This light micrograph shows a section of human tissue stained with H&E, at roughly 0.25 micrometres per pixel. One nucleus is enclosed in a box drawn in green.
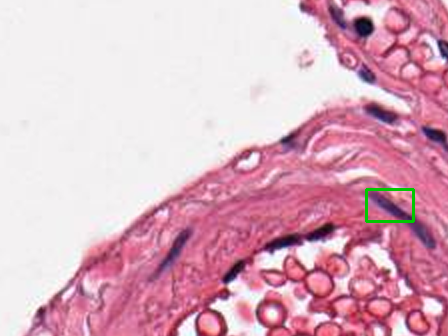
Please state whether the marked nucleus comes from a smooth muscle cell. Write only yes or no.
yes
